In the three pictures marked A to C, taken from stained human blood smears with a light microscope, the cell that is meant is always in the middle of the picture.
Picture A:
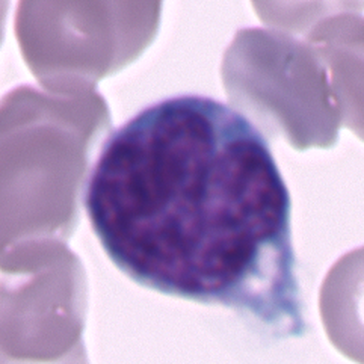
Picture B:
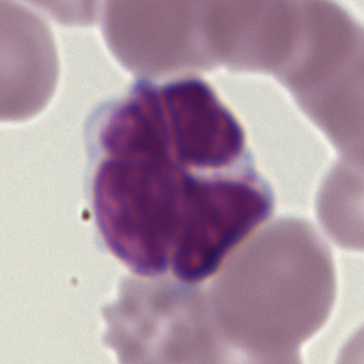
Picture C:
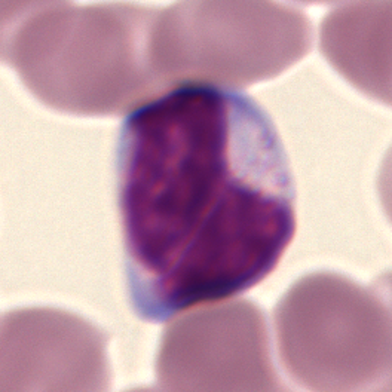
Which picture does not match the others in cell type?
A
